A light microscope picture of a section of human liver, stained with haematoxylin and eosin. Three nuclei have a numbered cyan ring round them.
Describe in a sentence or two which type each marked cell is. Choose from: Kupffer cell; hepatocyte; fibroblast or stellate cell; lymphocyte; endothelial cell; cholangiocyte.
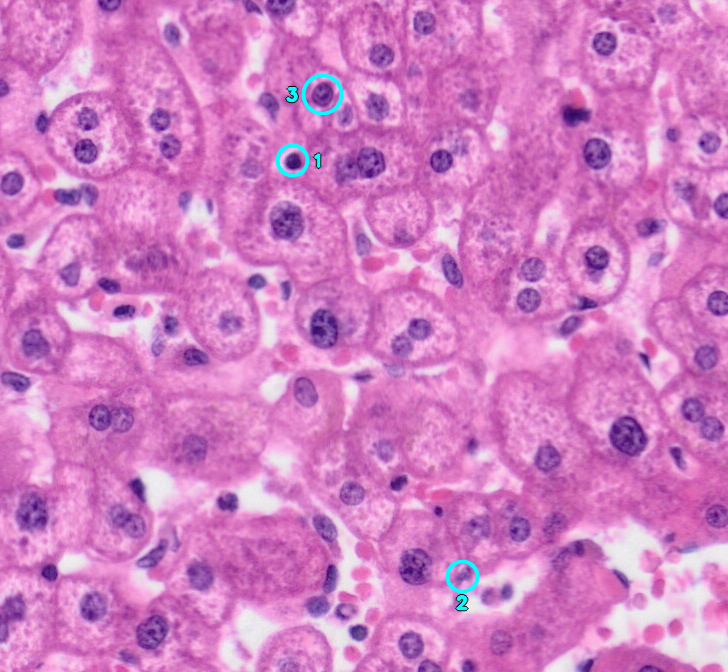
Cell 1 is a lymphocyte, cell 2 is a fibroblast or stellate cell and cell 3 is a hepatocyte.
